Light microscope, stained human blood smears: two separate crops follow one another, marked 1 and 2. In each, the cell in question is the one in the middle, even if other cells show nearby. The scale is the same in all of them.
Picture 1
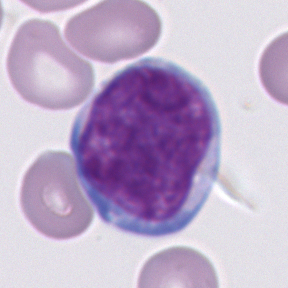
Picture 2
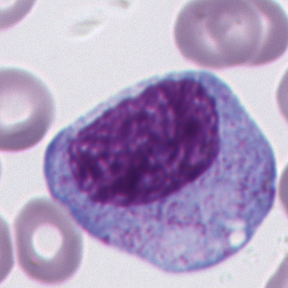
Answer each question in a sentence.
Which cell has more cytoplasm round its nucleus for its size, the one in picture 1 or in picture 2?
The nucleus fills less of the cell in picture 2 than in picture 1.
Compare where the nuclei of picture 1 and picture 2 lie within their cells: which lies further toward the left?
Seen within its cell, the nucleus in picture 2 lies further toward the left.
